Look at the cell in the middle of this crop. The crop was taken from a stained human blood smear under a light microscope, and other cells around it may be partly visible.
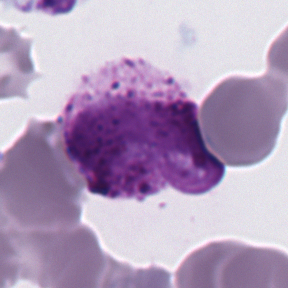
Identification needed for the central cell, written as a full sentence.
Centred in the crop is a basophil.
